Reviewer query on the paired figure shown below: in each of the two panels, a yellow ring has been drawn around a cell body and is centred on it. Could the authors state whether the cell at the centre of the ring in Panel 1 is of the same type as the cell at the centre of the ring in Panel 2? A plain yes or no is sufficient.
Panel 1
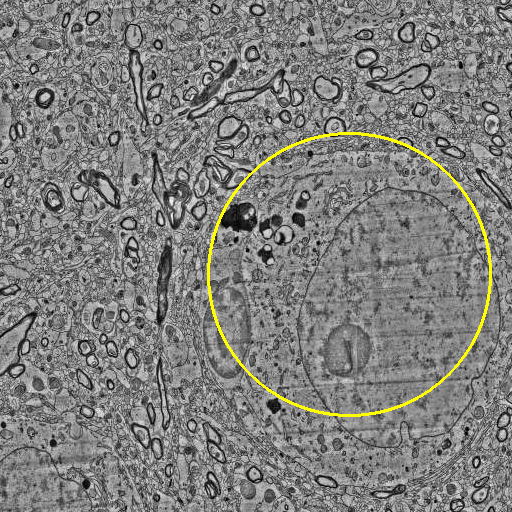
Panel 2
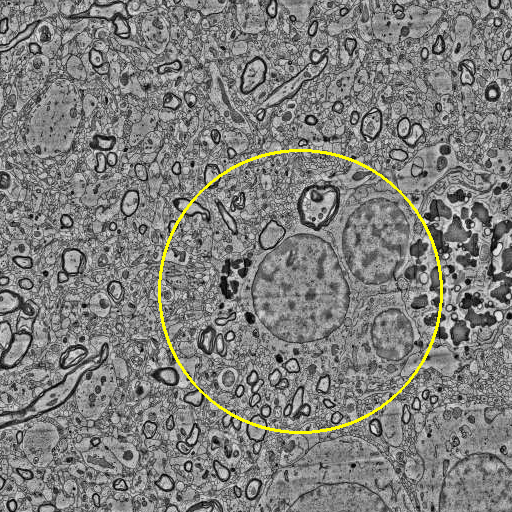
no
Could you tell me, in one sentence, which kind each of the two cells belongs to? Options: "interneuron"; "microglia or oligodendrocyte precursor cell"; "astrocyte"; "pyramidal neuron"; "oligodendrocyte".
At the centre of the first ring sits a pyramidal neuron, and at the centre of the second sits an oligodendrocyte.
